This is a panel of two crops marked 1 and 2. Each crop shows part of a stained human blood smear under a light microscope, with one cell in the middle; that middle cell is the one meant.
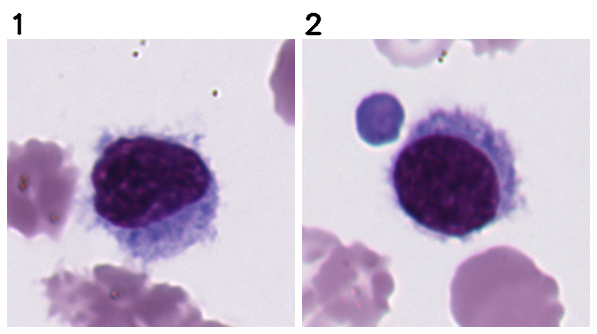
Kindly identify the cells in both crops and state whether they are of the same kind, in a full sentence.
Yes, that holds, both crops show hairy cells.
